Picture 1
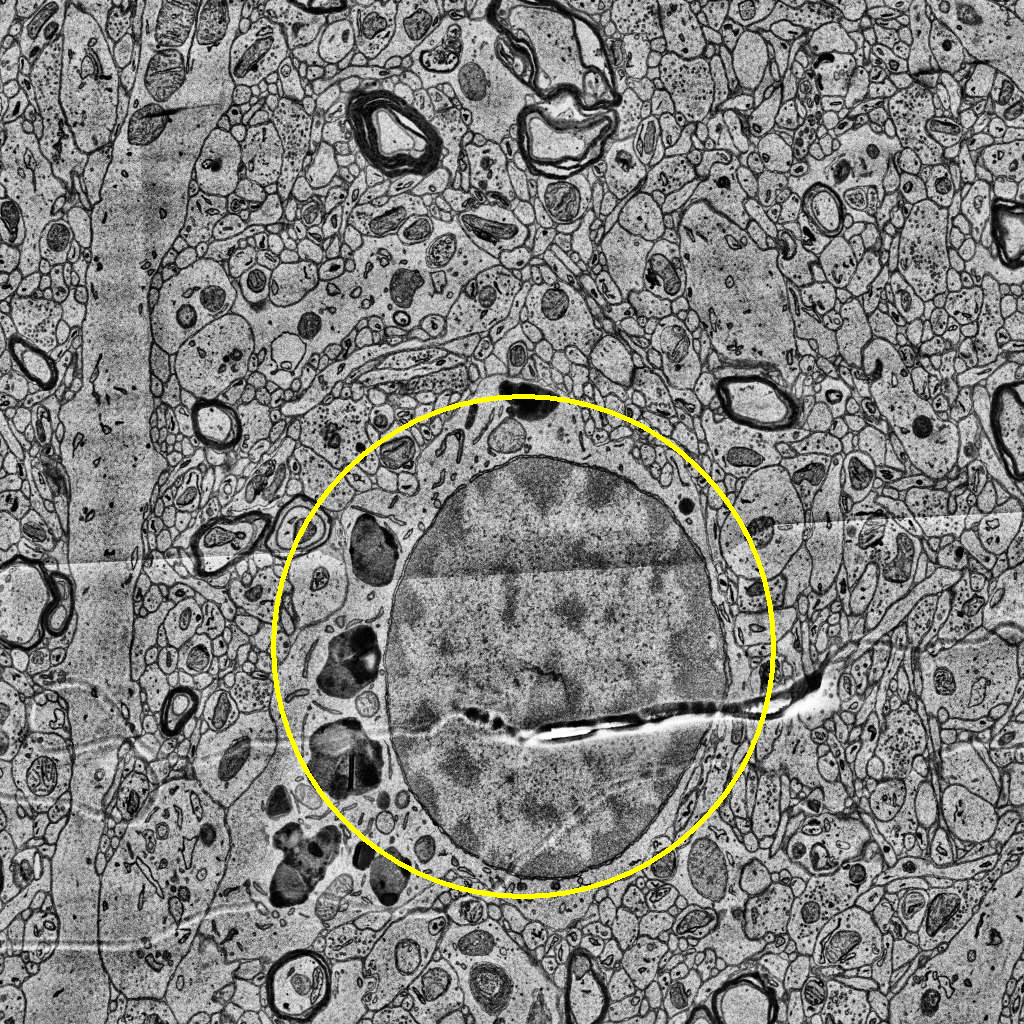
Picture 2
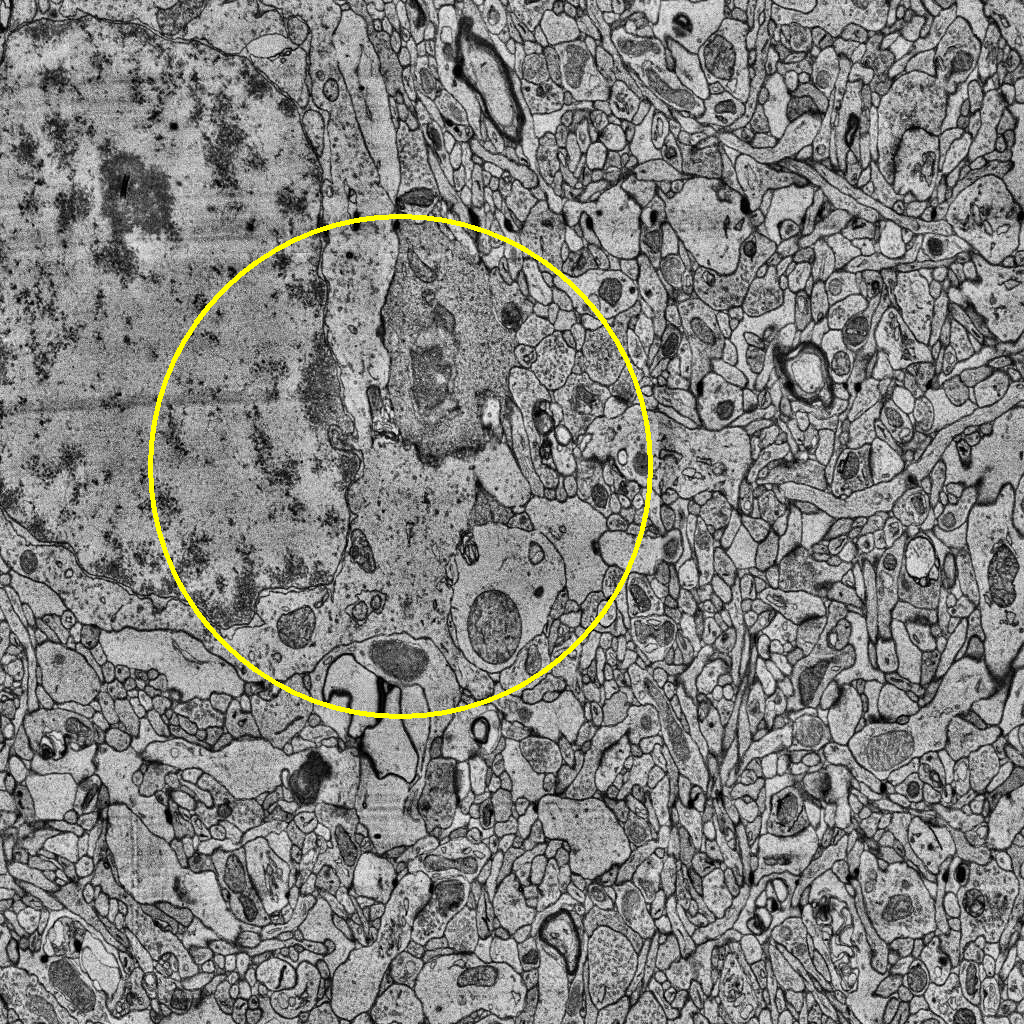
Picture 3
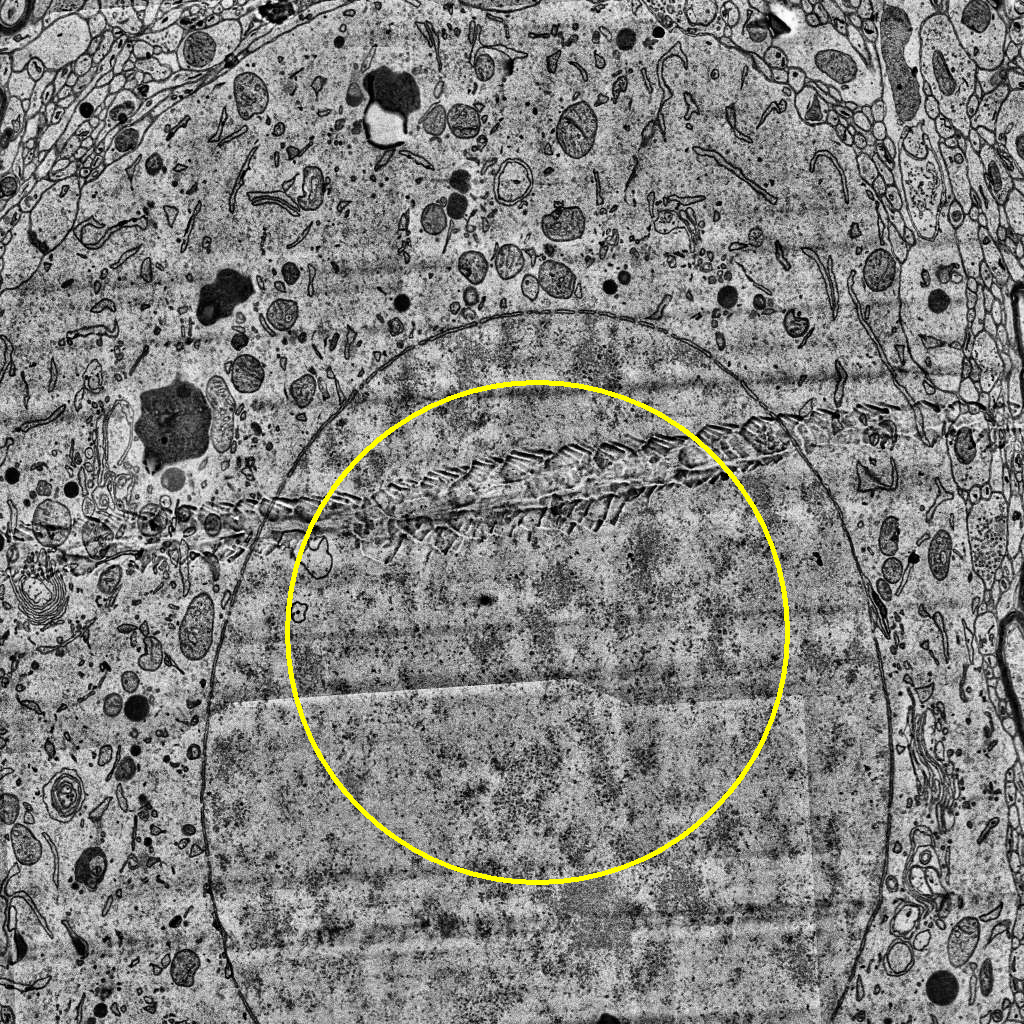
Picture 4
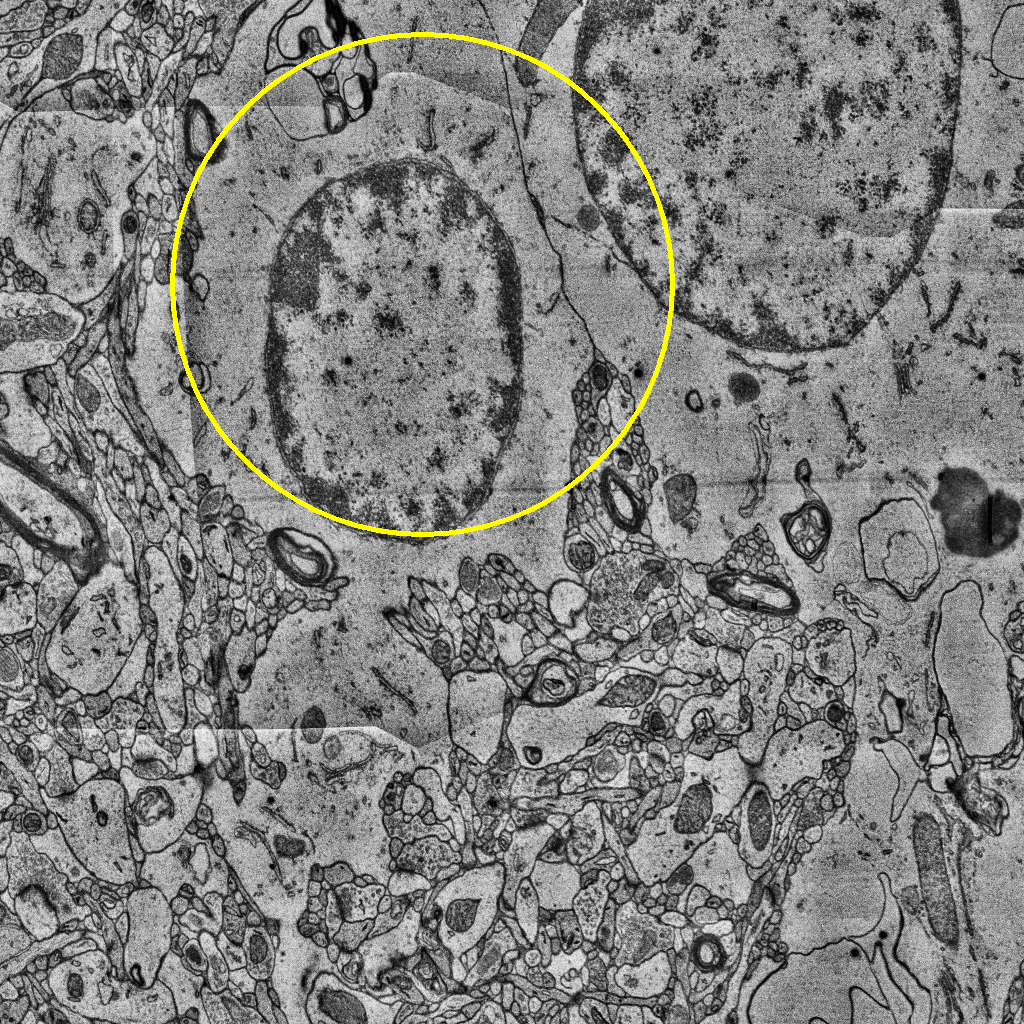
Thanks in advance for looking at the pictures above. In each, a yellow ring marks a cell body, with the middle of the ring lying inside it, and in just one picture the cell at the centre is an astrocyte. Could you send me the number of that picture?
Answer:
4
